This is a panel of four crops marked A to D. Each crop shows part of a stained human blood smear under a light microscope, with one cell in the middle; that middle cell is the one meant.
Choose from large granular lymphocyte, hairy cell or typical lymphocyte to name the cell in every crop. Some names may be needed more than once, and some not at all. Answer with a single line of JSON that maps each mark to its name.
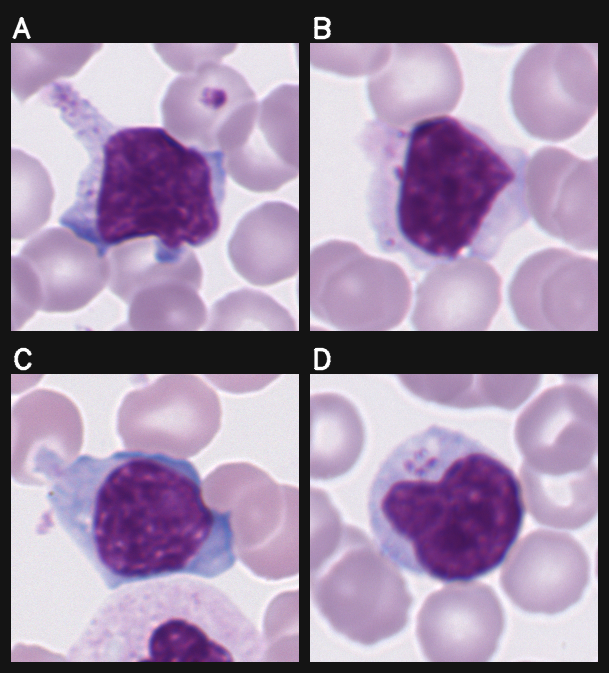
{"A": "large granular lymphocyte", "B": "large granular lymphocyte", "C": "typical lymphocyte", "D": "large granular lymphocyte"}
